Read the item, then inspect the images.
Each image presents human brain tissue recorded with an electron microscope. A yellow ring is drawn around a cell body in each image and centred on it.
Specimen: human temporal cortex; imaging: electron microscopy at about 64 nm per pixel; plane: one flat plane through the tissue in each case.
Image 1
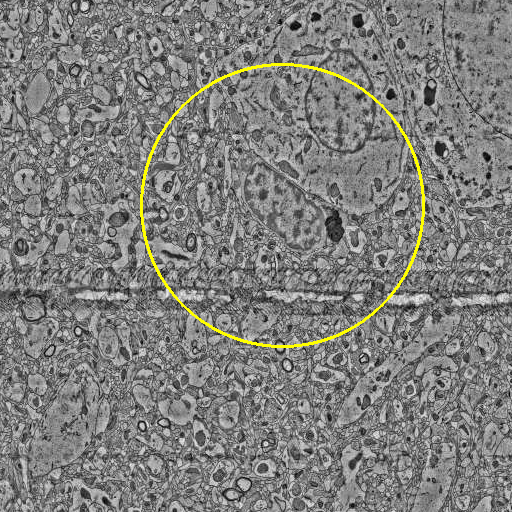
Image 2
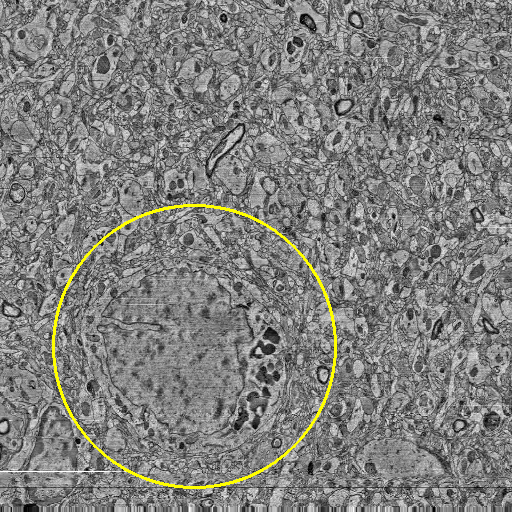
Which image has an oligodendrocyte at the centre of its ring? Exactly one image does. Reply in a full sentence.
The ring in Image 1 is centred on it.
